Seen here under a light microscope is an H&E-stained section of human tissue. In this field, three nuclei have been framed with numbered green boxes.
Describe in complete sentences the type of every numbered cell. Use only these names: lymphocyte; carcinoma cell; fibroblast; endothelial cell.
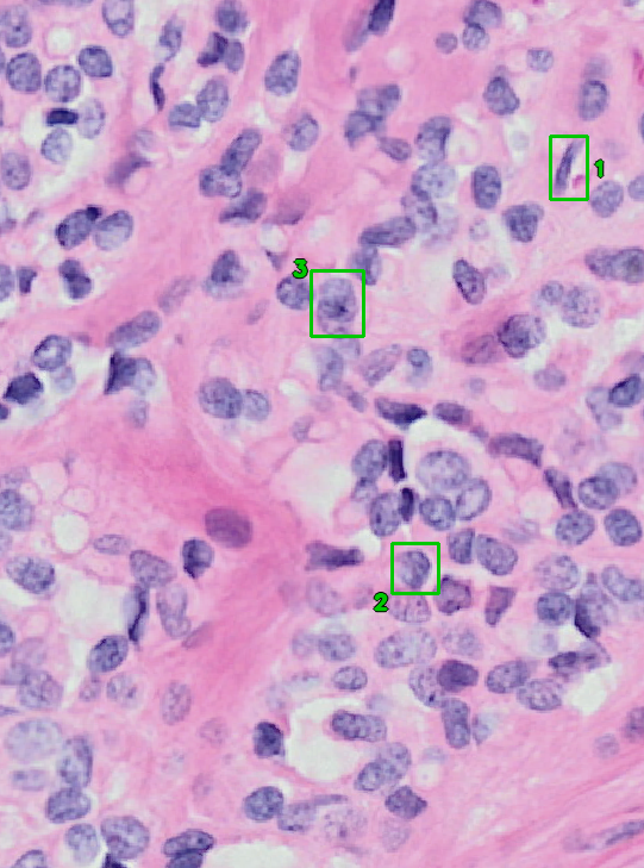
Cell 1 is an endothelial cell. Cells 2 and 3 are carcinoma cells.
